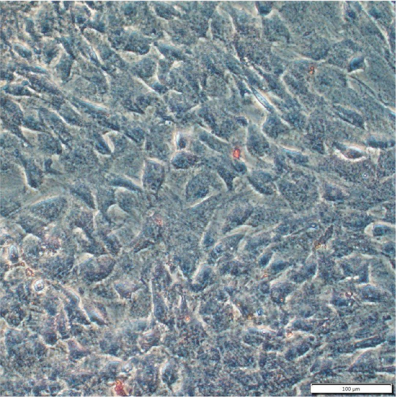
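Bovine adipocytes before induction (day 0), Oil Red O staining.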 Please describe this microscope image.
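A confluent layer of cultured cells is seen in a dense sheet covering the whole field. The cells are flat, spindle-shaped to polygonal with bright refractile outlines and pale, greyish cytoplasm. Red-stained droplets are almost absent, with only a very few isolated red dots scattered in the field.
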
